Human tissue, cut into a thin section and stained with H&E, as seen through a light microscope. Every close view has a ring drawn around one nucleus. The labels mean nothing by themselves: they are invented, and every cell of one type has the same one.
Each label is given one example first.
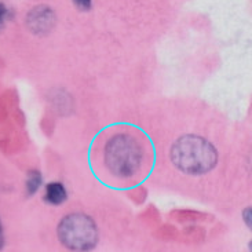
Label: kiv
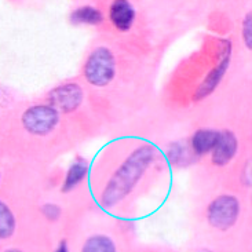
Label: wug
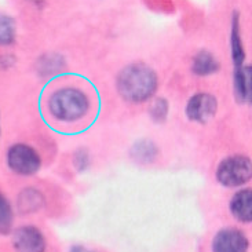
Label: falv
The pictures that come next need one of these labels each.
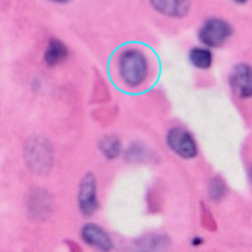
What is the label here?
falv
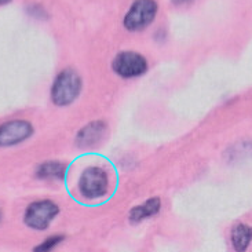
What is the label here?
falv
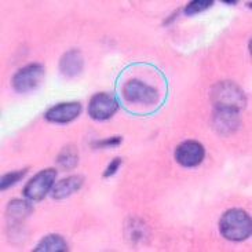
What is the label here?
wug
